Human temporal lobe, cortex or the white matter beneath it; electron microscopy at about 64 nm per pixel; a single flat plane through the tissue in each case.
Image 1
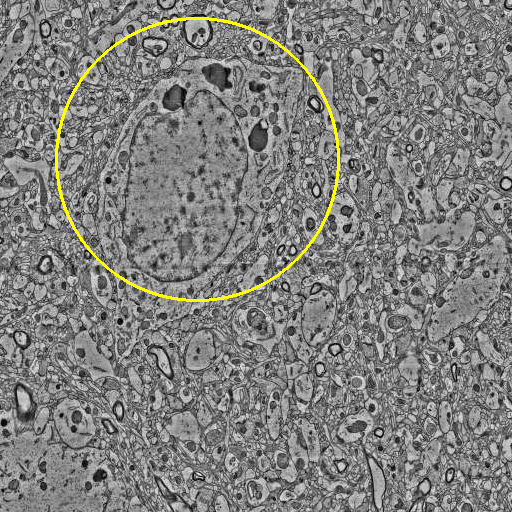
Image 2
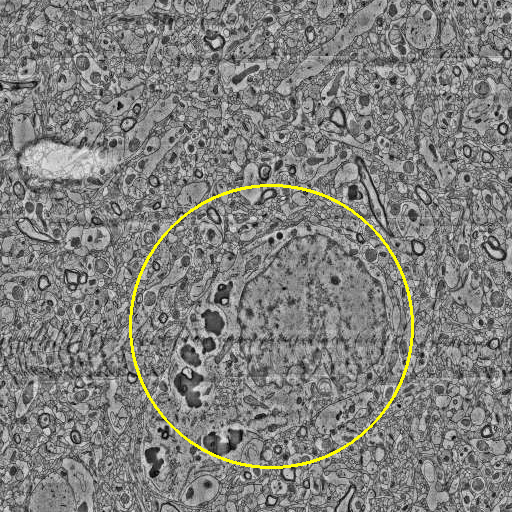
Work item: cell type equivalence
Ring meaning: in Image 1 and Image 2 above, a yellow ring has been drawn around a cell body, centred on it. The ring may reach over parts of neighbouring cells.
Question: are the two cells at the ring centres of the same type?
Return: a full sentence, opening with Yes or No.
Yes, the two centred cells are of the same type.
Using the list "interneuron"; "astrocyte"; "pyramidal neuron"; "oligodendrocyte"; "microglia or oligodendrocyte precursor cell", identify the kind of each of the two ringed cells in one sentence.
Each one of the two ringed cells is an interneuron.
